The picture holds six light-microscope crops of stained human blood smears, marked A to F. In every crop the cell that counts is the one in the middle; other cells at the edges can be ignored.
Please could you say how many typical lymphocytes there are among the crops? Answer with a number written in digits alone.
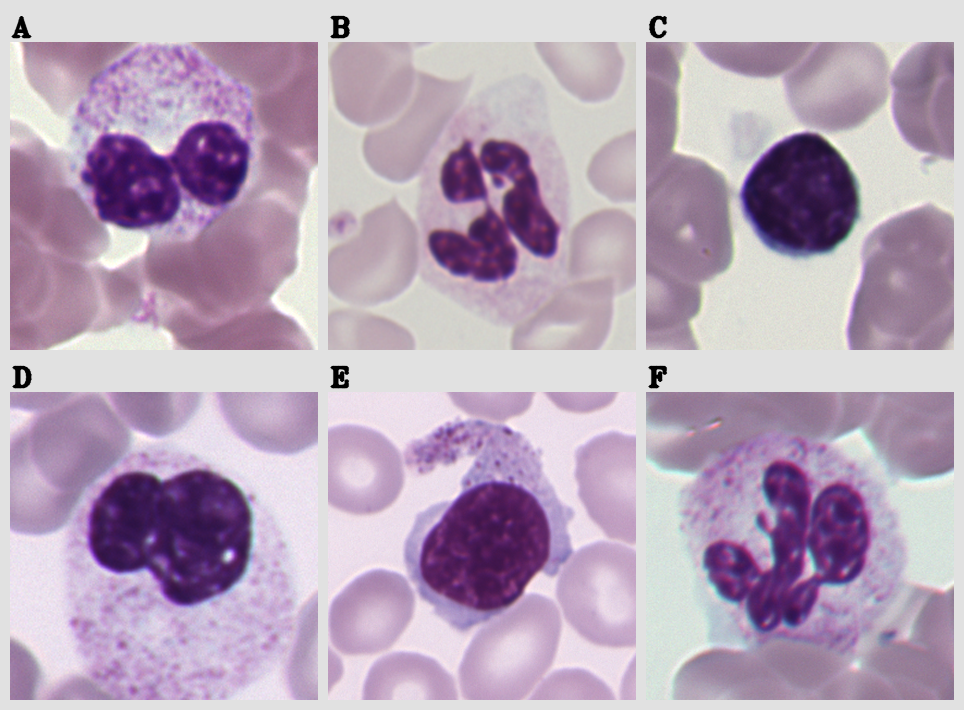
1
